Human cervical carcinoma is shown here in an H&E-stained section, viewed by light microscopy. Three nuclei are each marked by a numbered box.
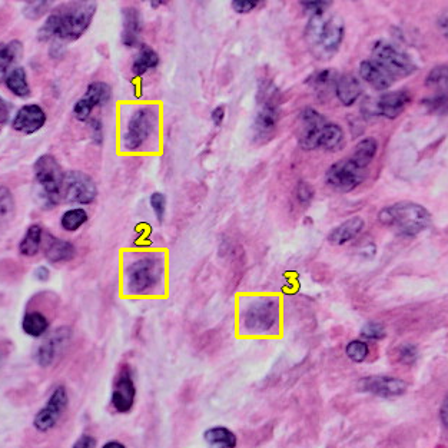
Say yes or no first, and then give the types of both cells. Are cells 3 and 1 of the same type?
No, cell 3 is a fibroblast and cell 1 is a macrophage or monocyte.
